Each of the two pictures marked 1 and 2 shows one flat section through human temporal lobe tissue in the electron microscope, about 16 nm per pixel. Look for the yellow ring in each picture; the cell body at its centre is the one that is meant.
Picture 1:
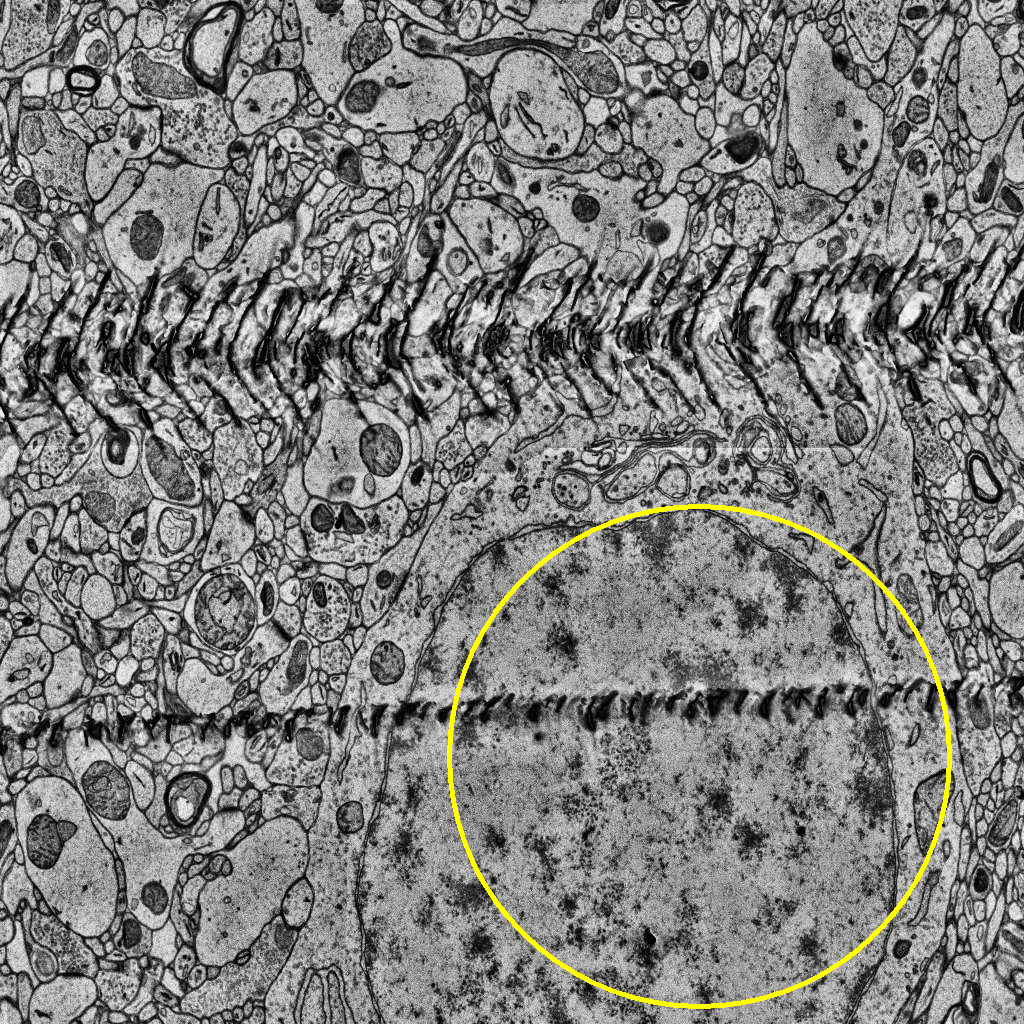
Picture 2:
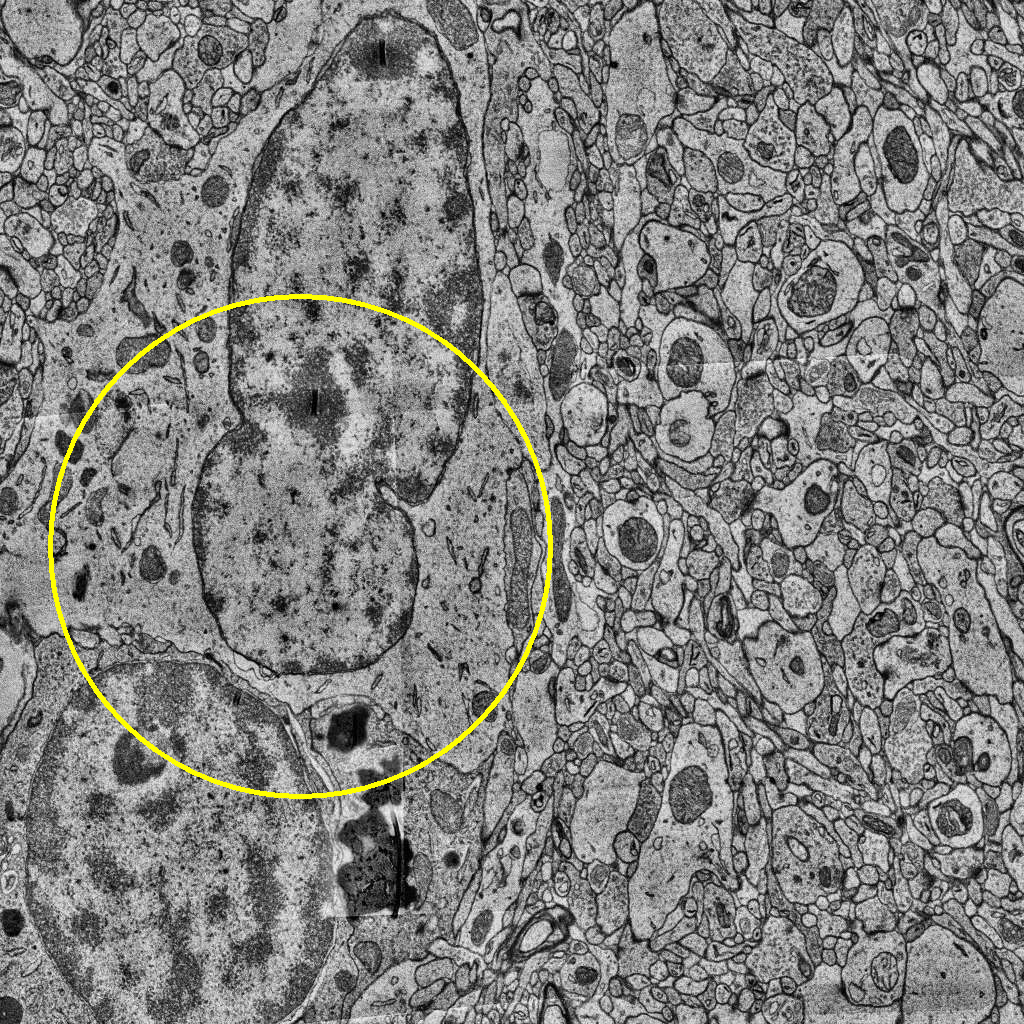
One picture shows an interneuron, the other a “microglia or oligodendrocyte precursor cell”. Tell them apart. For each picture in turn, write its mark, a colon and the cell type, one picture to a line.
1: interneuron
2: microglia or oligodendrocyte precursor cell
